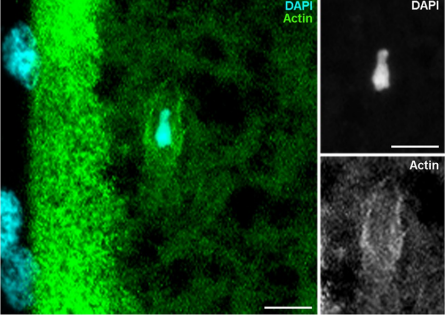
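Cortex of a mature oocyte with its meiotic chromosomes and overlying follicle cell nuclei. At far left, large rounded cyan nuclei of the follicle cells sit at the edge. Inside the oocyte, whose cytoplasm shows fainter mottled green, lies a small compact cyan chromosomal mass, elongated and set roughly parallel to the cortex.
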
